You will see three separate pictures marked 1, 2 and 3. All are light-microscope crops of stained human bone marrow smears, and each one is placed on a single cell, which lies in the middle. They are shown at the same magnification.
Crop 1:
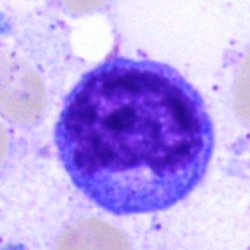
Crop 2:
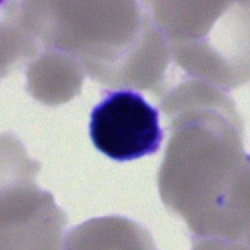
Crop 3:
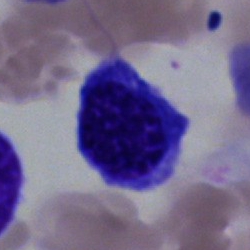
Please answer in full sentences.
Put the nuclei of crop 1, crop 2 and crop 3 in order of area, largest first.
Going down, they run 1, 3, 2.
